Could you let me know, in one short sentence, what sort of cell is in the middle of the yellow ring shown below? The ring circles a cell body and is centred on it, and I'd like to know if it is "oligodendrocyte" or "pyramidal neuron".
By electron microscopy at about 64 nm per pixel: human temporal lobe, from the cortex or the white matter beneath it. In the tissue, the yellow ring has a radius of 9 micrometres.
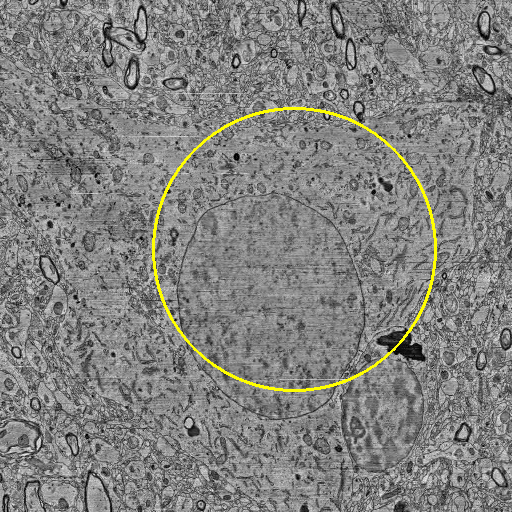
The ring circles the cell body of a pyramidal neuron.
